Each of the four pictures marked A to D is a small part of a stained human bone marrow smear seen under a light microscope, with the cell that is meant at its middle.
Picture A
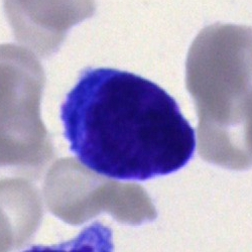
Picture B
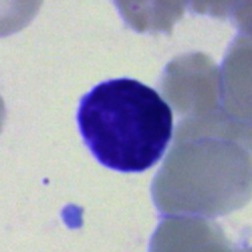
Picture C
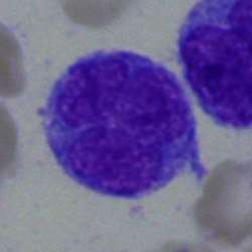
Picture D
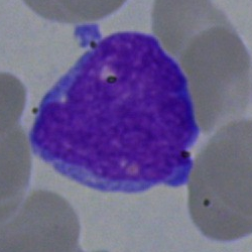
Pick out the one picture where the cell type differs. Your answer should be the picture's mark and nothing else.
B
